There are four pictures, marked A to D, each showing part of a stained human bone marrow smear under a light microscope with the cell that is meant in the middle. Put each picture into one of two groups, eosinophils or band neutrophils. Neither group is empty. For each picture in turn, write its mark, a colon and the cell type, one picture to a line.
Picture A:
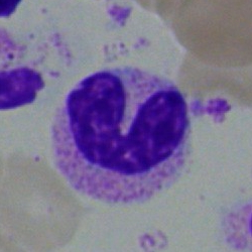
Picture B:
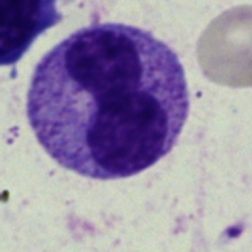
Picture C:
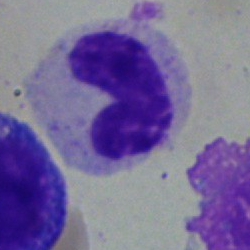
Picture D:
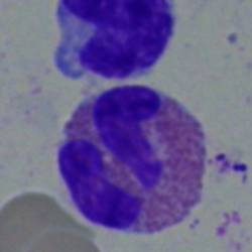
A: band neutrophil
B: band neutrophil
C: band neutrophil
D: eosinophil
